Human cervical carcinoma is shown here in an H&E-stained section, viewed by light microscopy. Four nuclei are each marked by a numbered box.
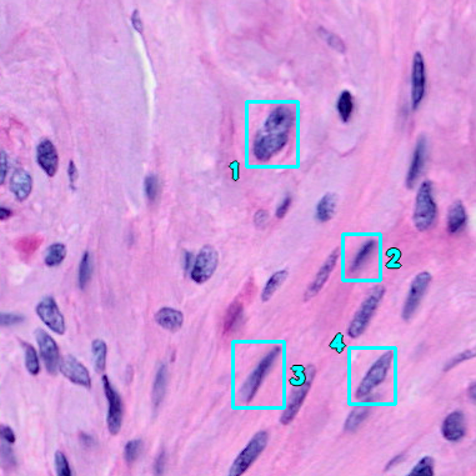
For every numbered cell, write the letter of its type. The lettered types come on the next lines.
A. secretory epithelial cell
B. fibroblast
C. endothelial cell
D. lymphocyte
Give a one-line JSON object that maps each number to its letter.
{"1": "C", "2": "B", "3": "B", "4": "B"}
